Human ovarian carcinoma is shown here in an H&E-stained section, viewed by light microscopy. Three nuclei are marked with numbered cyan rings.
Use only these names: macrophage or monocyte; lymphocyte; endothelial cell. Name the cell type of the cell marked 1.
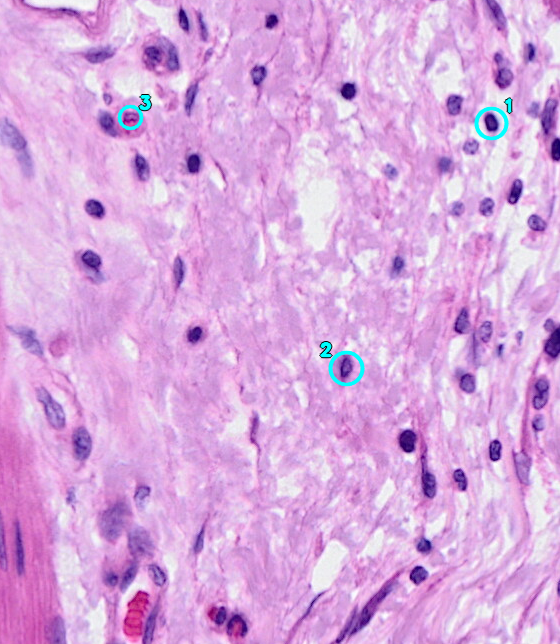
lymphocyte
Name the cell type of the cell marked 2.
macrophage or monocyte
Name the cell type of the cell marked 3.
endothelial cell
